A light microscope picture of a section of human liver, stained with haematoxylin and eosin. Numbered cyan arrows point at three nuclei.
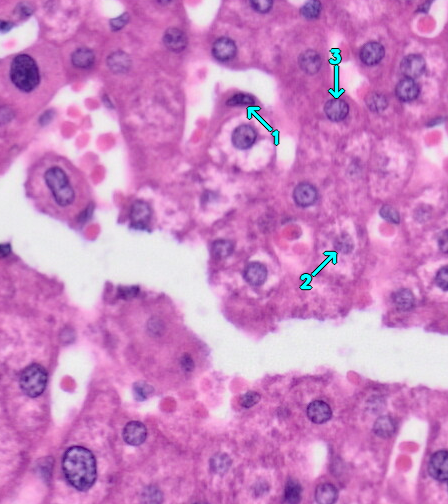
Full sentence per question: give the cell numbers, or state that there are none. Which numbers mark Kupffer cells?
Of the marked cells, the one numbered 1 is a Kupffer cell and the rest are not.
